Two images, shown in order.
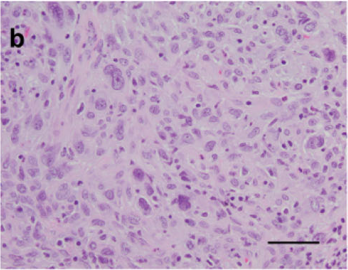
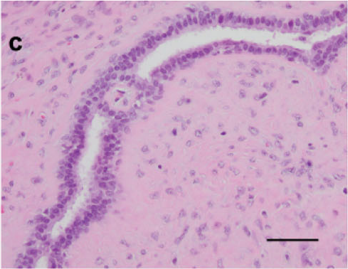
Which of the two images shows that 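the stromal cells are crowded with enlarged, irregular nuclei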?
The first image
